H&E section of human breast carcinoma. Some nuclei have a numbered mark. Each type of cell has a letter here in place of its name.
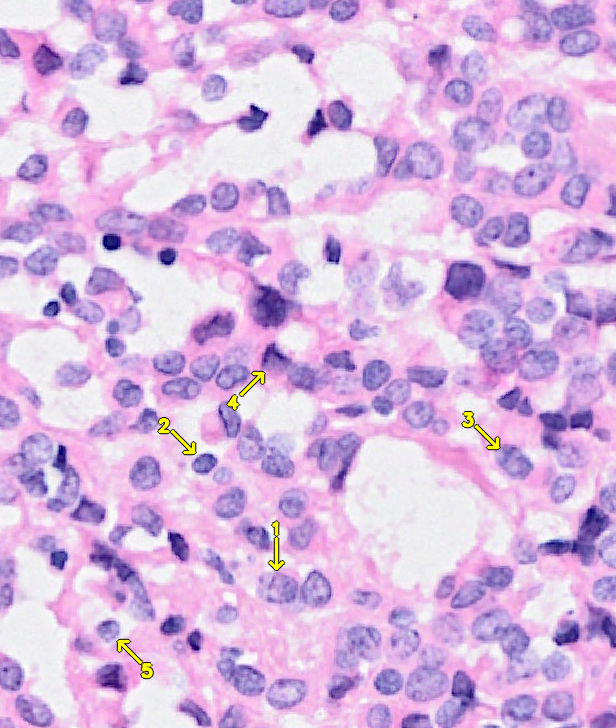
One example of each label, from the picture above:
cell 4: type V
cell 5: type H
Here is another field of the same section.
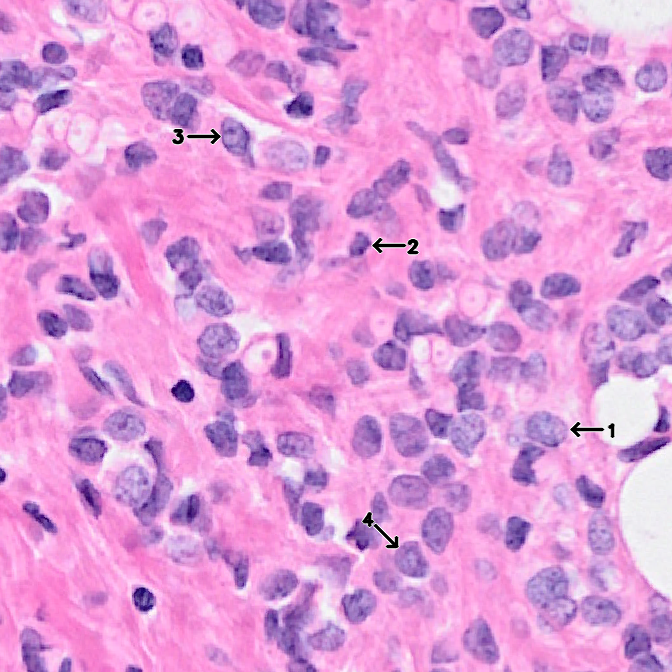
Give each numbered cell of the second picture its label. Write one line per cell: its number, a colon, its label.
1: type V
2: type H
3: type V
4: type V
